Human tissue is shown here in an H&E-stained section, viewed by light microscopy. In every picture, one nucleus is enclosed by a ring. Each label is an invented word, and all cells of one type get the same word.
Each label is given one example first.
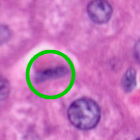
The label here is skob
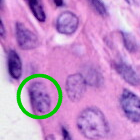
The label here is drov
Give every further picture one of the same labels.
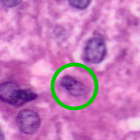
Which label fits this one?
skob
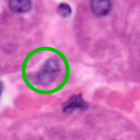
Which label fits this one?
skob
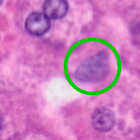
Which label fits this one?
skob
